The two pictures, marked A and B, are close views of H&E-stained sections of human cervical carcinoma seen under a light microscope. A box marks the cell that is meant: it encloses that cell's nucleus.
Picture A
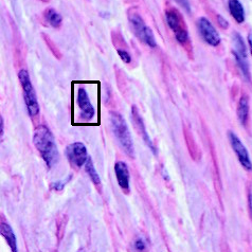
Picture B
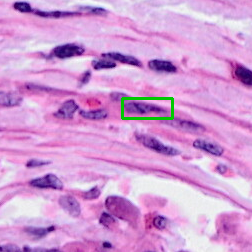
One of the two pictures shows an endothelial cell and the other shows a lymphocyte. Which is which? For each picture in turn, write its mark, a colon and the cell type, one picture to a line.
A: lymphocyte
B: endothelial cell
